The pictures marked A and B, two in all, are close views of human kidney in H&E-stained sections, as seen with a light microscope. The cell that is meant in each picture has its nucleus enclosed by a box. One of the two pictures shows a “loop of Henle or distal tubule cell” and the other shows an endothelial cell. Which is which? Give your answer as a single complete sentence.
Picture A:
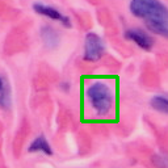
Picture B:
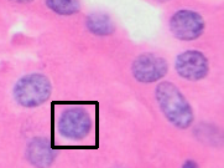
Picture A shows an endothelial cell and picture B shows a “loop of Henle or distal tubule cell”.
